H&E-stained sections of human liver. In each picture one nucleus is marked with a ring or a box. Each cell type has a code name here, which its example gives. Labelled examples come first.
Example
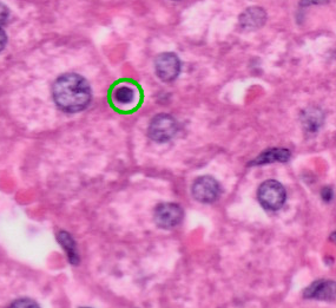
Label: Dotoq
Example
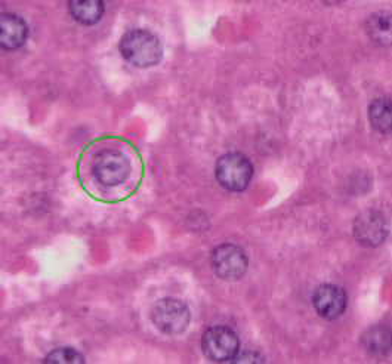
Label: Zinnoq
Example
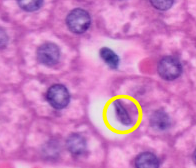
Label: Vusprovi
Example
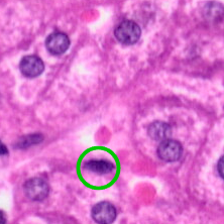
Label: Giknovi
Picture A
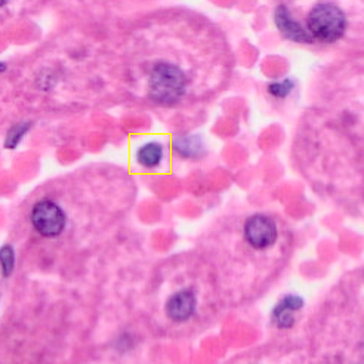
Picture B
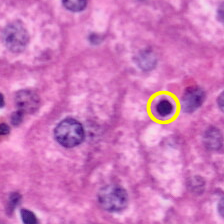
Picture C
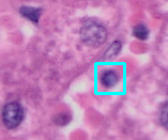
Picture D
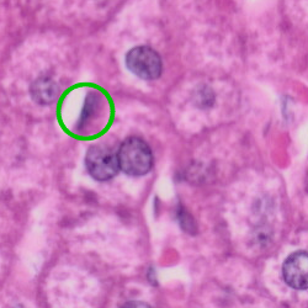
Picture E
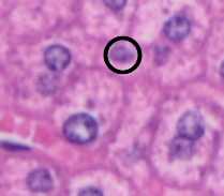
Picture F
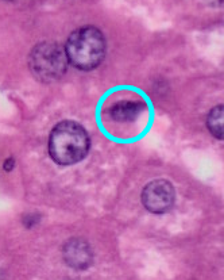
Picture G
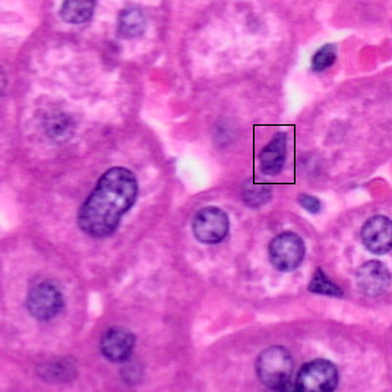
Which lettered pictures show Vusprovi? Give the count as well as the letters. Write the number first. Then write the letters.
2: D, E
